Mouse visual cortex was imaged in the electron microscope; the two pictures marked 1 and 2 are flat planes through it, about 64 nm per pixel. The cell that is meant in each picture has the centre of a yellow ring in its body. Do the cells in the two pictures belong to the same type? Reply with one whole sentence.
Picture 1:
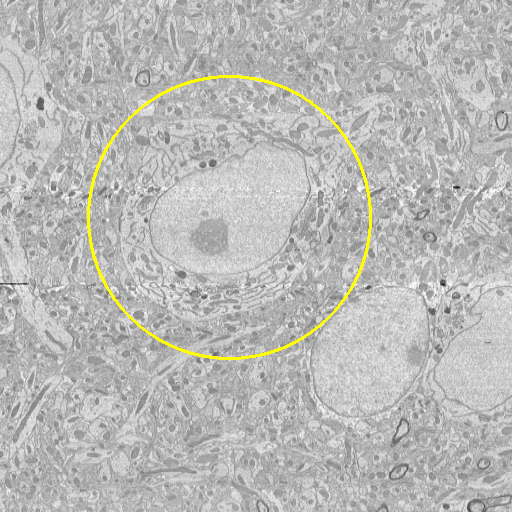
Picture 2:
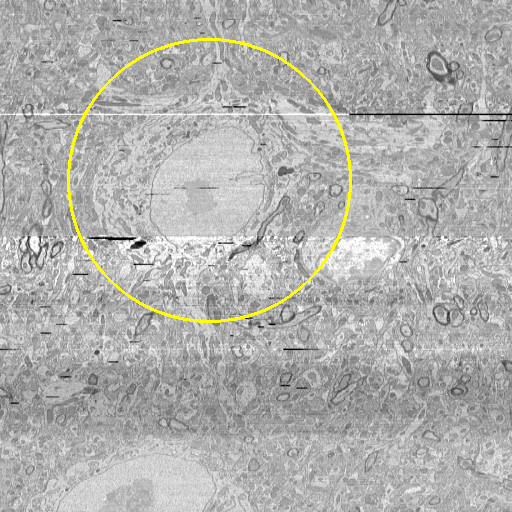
Yes, both cells are inhibitory neurons.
